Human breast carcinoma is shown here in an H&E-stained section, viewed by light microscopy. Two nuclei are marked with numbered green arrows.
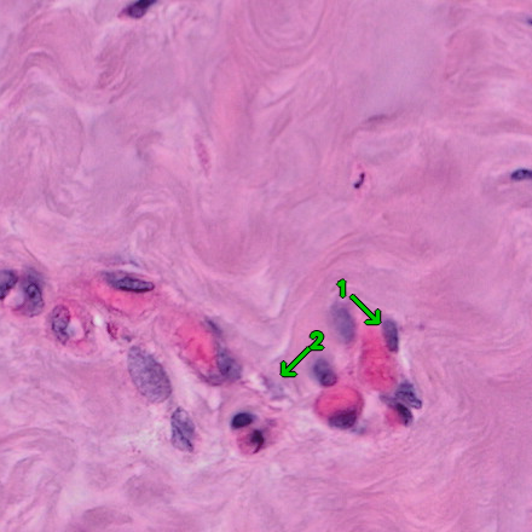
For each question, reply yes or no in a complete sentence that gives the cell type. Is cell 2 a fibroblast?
Yes, the nucleus numbered 2 belongs to a fibroblast.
